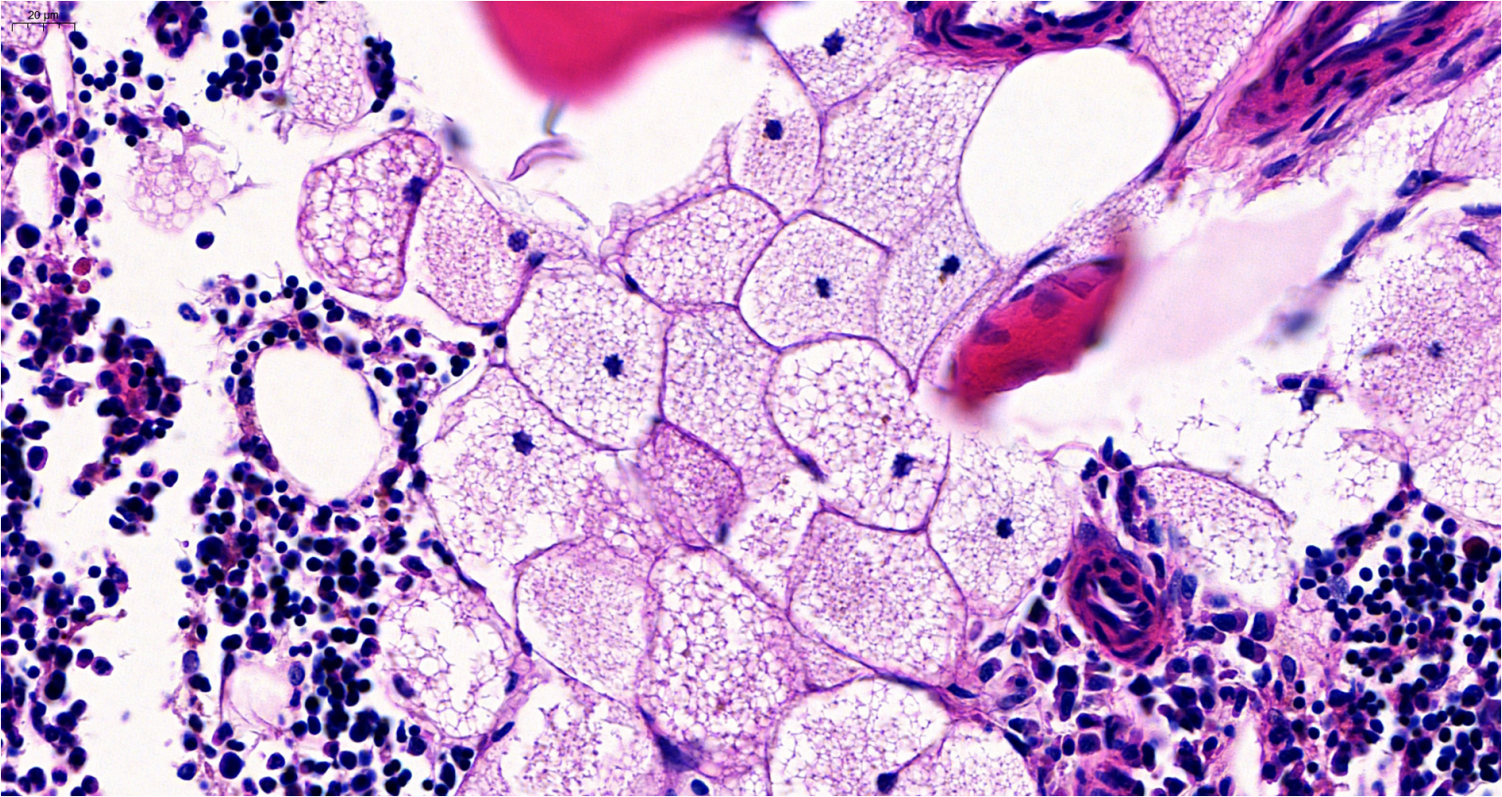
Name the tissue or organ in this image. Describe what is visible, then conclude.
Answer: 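Dense sheets of small round cells with dark nuclei at the left and lower right. Mixed small cell populations around thin-walled spaces and a small vessel. The answer: bone marrow.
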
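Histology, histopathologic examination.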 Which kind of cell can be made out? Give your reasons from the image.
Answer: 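A cluster of large polygonal cells packed side by side. Each cell's cytoplasm is filled with many small clear vacuoles. The answer: brown fat cells.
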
